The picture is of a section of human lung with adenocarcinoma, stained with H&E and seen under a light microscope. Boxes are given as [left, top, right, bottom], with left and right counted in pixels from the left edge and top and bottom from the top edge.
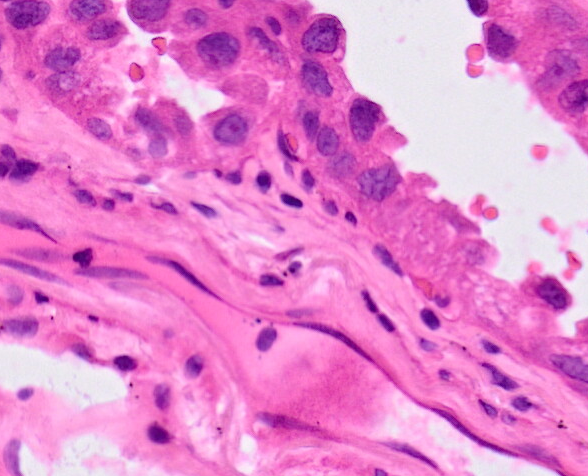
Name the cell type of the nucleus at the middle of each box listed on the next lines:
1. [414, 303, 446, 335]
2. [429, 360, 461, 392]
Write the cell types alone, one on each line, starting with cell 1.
lymphocyte
smooth muscle cell or pericyte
